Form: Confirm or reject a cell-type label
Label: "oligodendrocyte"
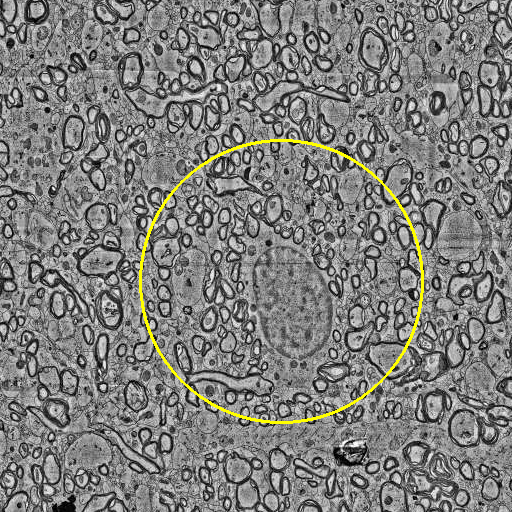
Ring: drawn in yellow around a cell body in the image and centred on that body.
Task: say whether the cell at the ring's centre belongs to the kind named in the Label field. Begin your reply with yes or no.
Yes, it belongs to that kind.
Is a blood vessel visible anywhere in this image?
No.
